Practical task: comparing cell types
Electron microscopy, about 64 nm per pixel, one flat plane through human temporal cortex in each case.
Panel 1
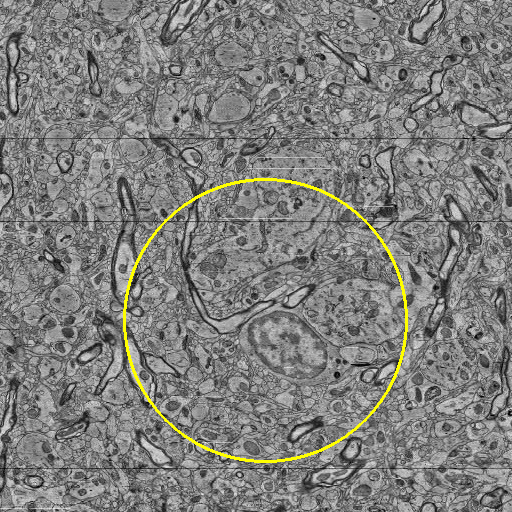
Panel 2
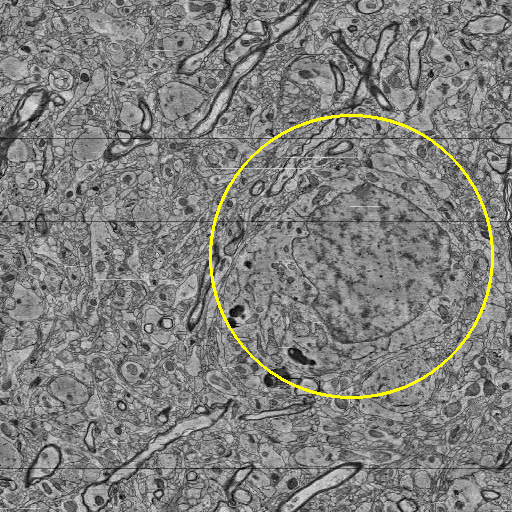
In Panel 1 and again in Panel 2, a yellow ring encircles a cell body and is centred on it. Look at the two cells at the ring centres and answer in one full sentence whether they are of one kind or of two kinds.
The two cells sitting at the ring centres of Panels 1 and 2 are of two kinds.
